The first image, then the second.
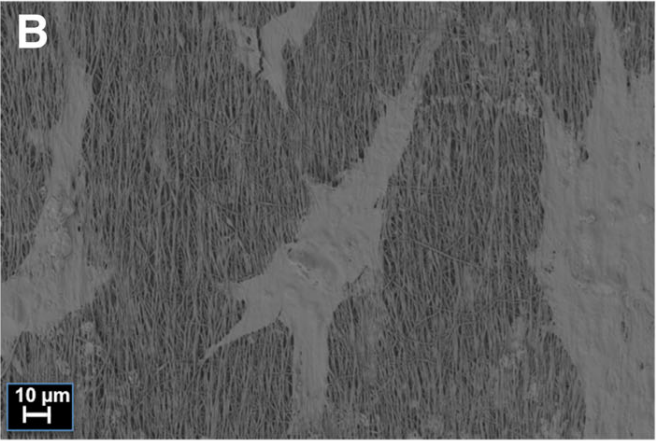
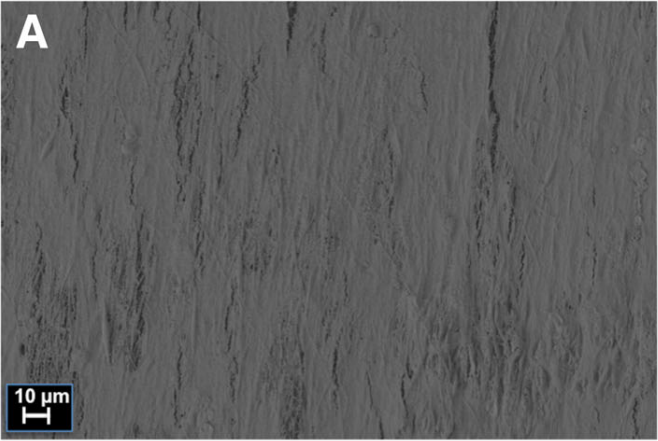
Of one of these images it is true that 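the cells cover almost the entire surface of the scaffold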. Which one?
the second image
